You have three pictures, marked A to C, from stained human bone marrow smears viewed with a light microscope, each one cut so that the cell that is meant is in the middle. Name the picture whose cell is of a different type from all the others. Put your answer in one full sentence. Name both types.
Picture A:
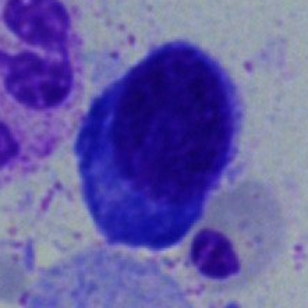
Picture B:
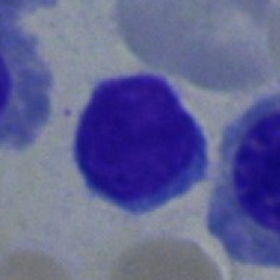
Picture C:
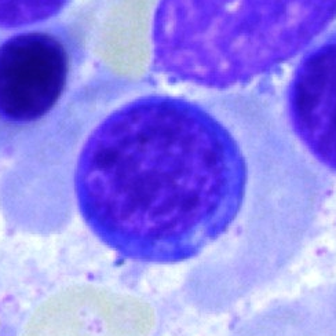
All pictures except A show lymphocytes; picture A shows a plasma cell.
